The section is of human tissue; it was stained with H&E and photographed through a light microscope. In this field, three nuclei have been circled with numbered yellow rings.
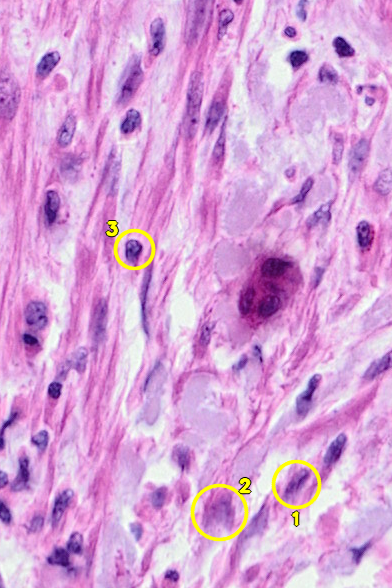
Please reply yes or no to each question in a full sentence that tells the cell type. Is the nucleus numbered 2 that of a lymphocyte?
No, not a lymphocyte: the cell with number 2 is a fibroblast.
